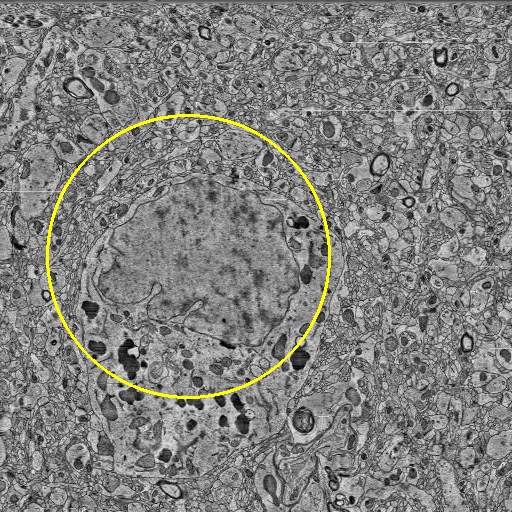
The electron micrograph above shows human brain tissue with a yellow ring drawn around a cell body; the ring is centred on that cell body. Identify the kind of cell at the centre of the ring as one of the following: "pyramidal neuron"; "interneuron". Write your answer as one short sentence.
The cell at the centre of the ring is an interneuron.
